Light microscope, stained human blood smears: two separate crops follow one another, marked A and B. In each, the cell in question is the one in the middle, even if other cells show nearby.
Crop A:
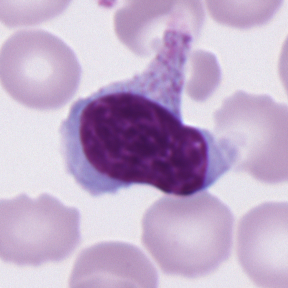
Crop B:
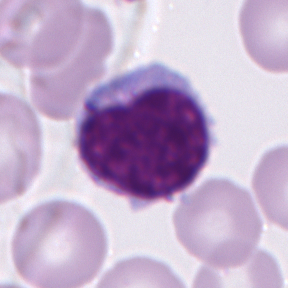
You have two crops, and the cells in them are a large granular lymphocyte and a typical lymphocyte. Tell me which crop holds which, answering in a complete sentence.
The middle cell in crop A is a large granular lymphocyte; the middle cell in crop B is a typical lymphocyte.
